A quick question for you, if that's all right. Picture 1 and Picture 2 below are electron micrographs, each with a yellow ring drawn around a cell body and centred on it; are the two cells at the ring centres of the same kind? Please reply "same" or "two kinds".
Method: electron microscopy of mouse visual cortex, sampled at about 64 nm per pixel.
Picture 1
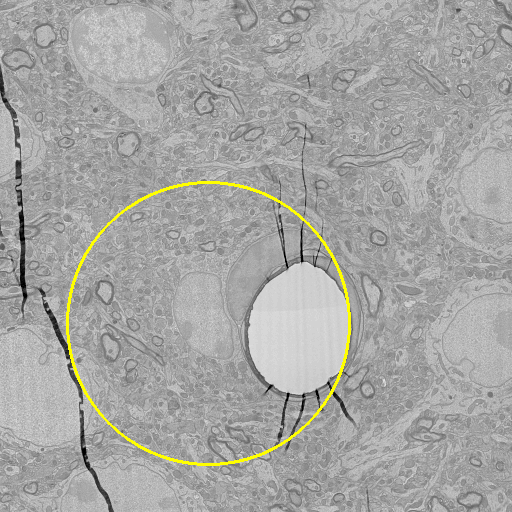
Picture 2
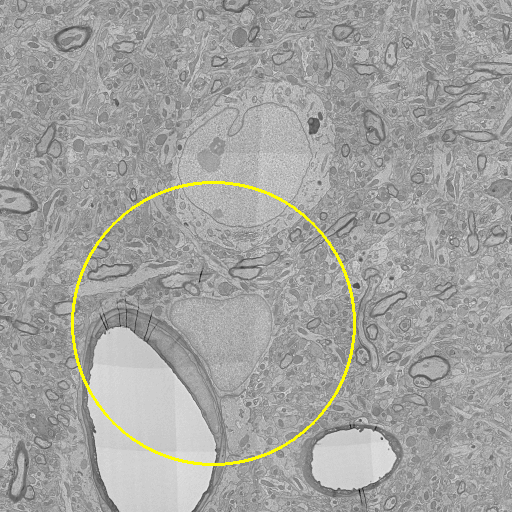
same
